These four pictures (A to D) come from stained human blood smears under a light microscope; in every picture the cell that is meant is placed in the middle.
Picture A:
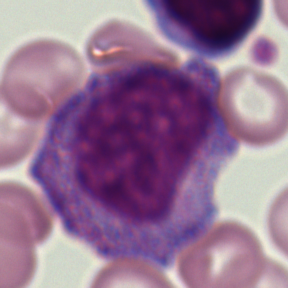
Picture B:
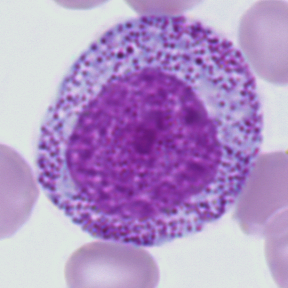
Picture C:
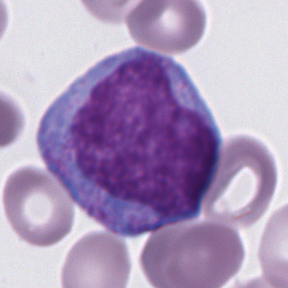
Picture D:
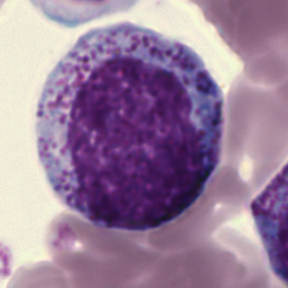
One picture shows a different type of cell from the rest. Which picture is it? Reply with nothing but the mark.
B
